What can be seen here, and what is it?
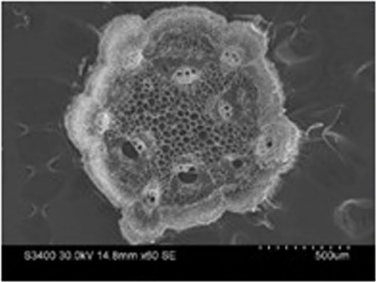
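A whole stem is seen in transverse section, with a rounded, somewhat lobed outline. An outer band of cortex with compact cells surrounds a broad ground tissue of many small polygonal parenchyma cells. Several vascular bundles lie spaced around a ring inside the cortex, each showing one or more wide, open vessel lumens. The centre of the section is filled with parenchyma cells without bundles. The outer surface is uneven, with a few fine hairs projecting from the edge.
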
